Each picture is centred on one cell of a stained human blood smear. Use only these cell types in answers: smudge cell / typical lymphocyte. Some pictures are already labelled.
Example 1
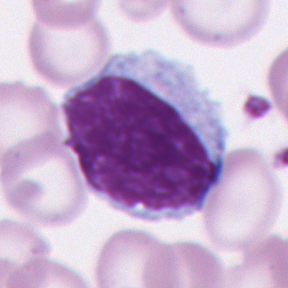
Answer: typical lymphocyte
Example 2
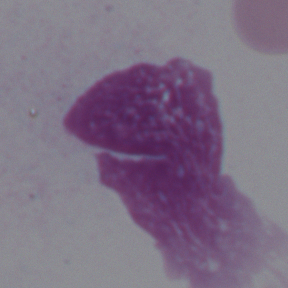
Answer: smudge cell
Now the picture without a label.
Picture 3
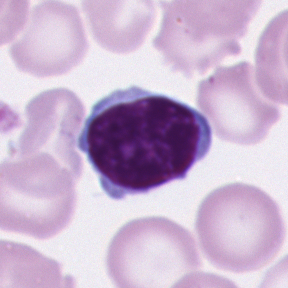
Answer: typical lymphocyte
